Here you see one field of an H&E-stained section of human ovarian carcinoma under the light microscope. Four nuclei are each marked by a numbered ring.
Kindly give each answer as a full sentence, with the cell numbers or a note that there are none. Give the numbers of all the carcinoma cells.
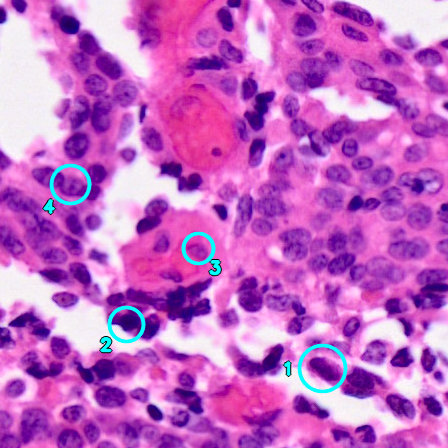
The cells picked out by numbers 1, 2 and 4 are carcinoma cells.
